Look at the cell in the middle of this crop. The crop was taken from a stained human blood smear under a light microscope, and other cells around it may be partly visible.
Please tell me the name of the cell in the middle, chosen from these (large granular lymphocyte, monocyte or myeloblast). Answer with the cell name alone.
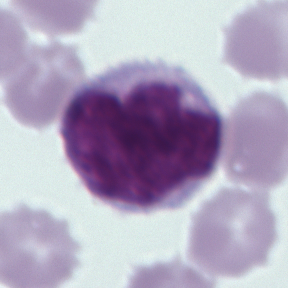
myeloblast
